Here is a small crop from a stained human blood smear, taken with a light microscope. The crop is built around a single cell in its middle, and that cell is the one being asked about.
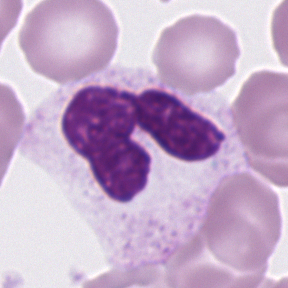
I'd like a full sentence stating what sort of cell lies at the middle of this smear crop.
Where the crop is centred, there is a segmented neutrophil.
